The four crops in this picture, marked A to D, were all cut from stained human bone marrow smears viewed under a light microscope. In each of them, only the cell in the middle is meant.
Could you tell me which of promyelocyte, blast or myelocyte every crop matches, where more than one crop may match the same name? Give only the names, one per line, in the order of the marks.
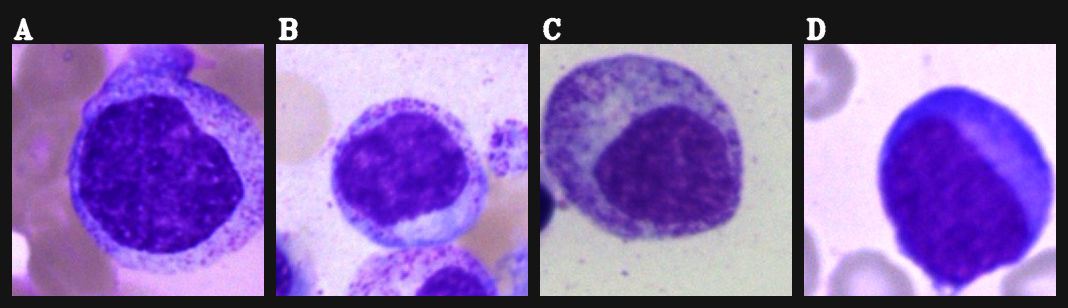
promyelocyte
myelocyte
myelocyte
blast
